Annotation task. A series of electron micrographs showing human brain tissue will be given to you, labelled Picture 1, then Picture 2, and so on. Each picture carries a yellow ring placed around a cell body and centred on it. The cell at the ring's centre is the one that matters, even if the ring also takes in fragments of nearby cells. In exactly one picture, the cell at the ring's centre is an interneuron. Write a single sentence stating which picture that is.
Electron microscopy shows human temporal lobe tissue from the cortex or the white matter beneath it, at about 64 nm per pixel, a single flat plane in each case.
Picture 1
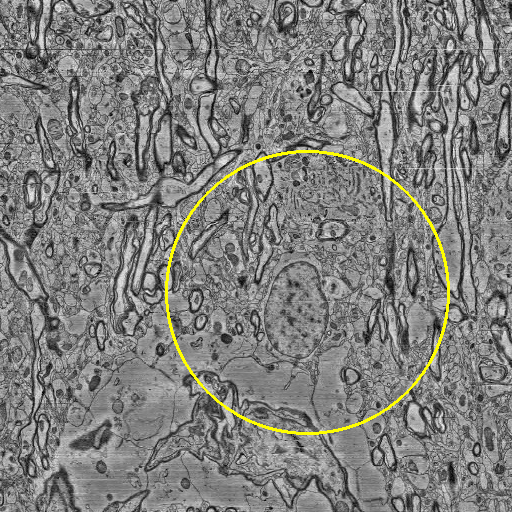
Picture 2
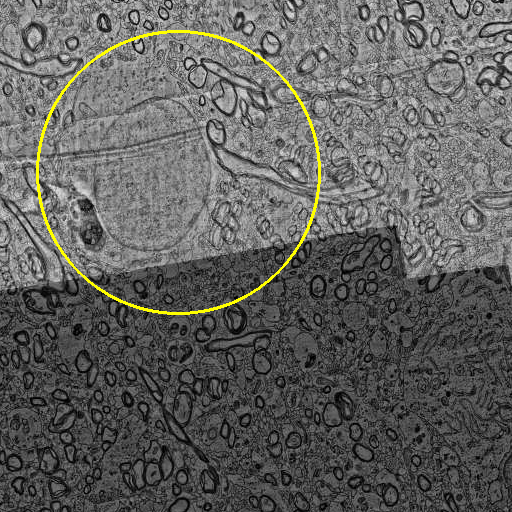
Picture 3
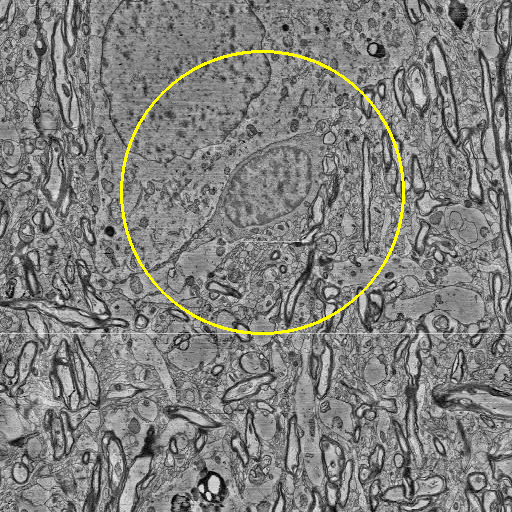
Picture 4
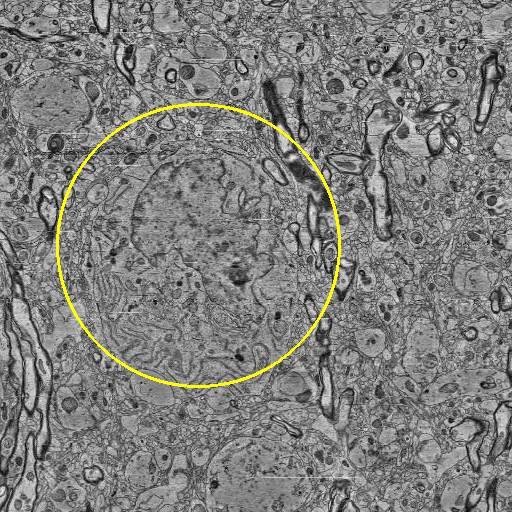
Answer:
Picture 4 holds the requested cell at the very centre of its ring.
